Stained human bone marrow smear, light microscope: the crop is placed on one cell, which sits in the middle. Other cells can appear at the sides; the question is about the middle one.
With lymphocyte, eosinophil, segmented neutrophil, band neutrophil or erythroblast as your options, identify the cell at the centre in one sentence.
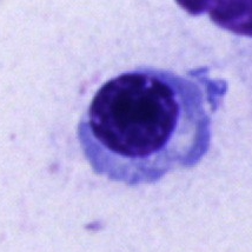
On this slide crop, the central cell is an erythroblast.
